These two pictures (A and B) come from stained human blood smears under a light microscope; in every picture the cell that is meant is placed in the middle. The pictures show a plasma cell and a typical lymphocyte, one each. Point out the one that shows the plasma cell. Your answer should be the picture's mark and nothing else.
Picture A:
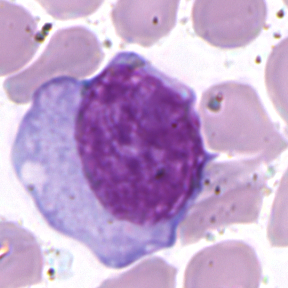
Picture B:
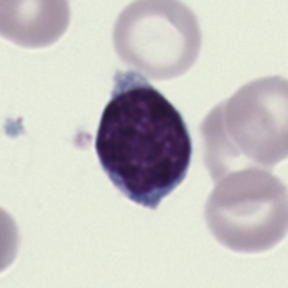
A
